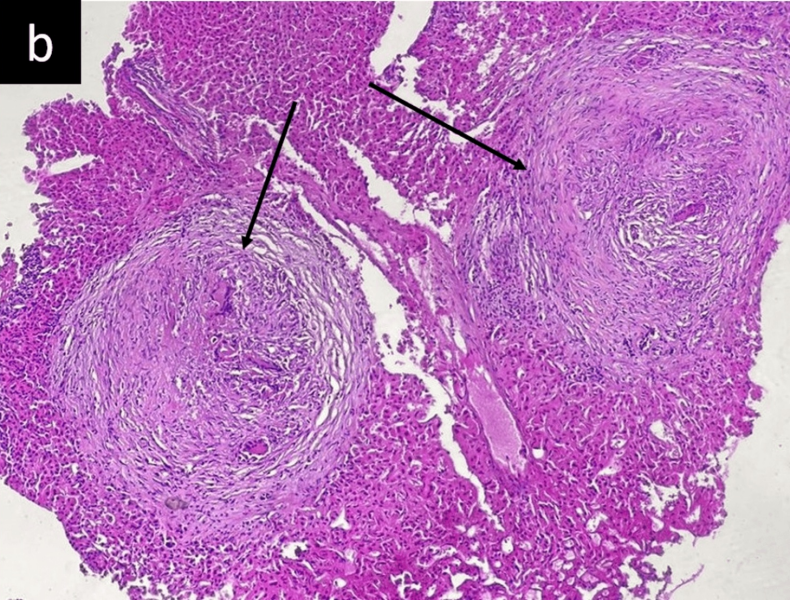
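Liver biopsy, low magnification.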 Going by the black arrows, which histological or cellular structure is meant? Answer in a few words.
Granulomas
